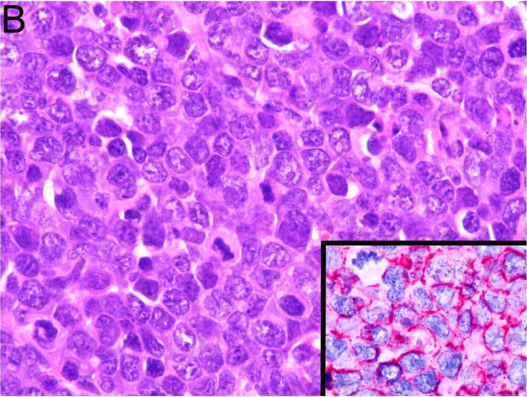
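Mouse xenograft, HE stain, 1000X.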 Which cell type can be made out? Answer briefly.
Large lymphoid cells.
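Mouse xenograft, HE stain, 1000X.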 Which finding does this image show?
Brisk mitotic activity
